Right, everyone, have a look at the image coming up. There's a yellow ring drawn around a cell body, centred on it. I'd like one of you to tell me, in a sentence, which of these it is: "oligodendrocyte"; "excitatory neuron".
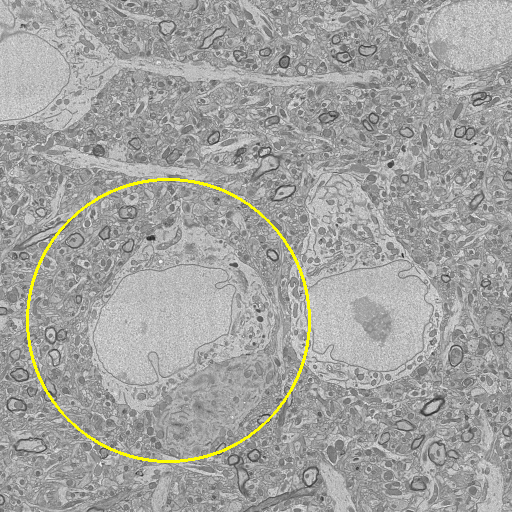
The yellow ring sits on an excitatory neuron.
